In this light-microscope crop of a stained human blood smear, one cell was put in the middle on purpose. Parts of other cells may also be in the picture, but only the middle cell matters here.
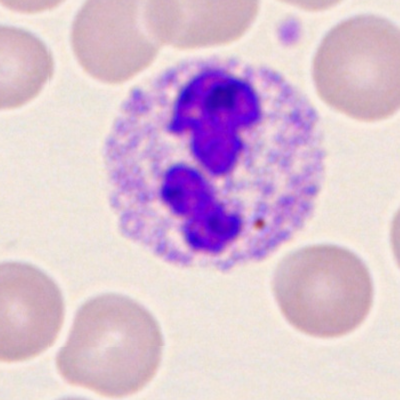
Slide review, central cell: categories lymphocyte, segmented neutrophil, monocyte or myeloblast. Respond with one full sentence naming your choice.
The cell nearest the centre of this crop is a segmented neutrophil.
